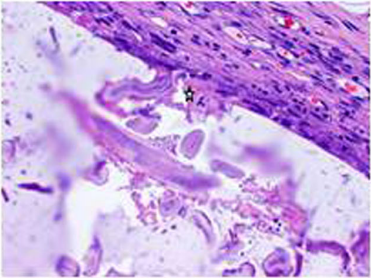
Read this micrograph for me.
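The upper right of the field is densely cellular tissue with many dark purple nuclei, some elongated and spindle-shaped, set in pink-violet matrix, with small vessels containing red blood cells. The lower left is occupied by pale lilac, fragmented foreign material with curled and irregular pieces. At the boundary between tissue and material, a small star marks a cell lying against the material fragments.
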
